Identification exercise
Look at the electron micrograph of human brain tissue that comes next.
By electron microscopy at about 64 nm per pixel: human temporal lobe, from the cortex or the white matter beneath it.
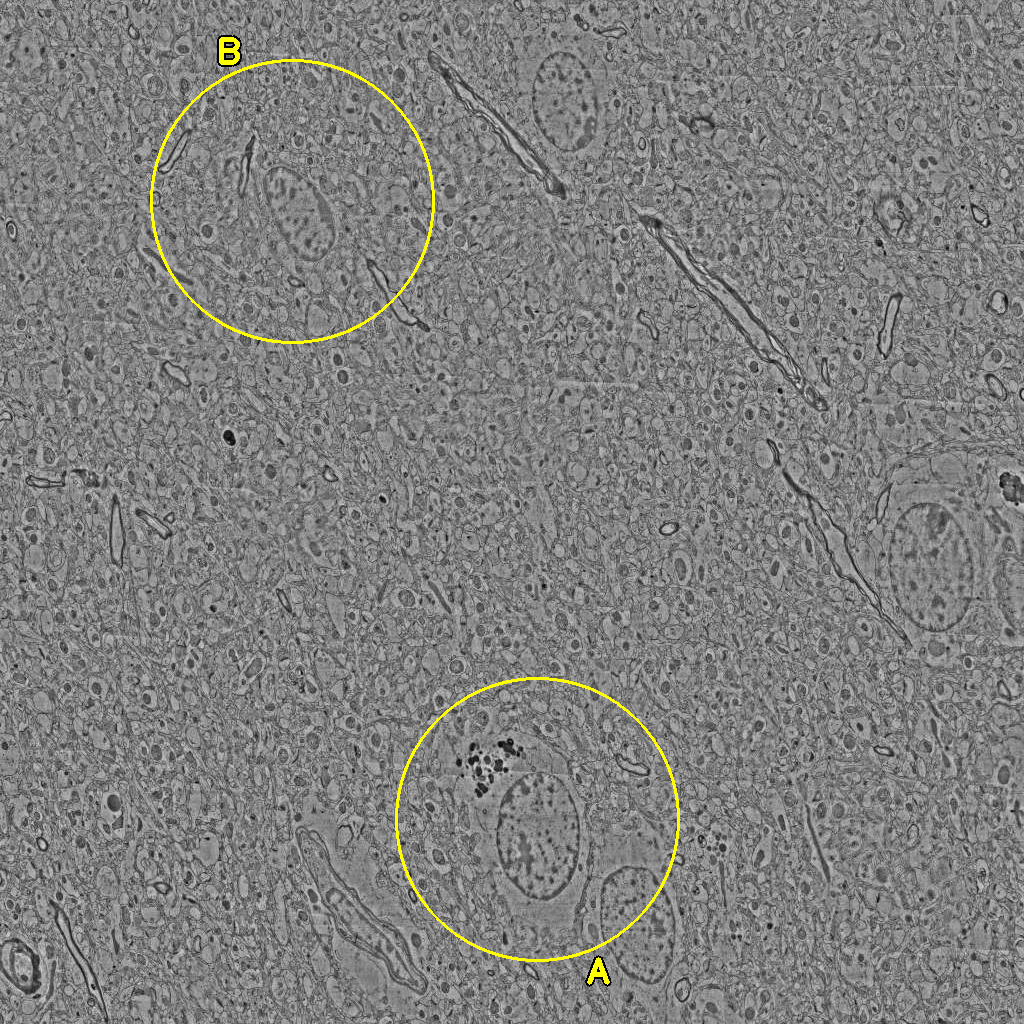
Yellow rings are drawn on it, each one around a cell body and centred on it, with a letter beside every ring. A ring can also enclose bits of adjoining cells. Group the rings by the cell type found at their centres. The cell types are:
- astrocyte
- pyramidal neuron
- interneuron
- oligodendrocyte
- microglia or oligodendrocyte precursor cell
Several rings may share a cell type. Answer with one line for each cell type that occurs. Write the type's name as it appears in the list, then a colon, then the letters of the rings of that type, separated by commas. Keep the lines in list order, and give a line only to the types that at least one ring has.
astrocyte: A
microglia or oligodendrocyte precursor cell: B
